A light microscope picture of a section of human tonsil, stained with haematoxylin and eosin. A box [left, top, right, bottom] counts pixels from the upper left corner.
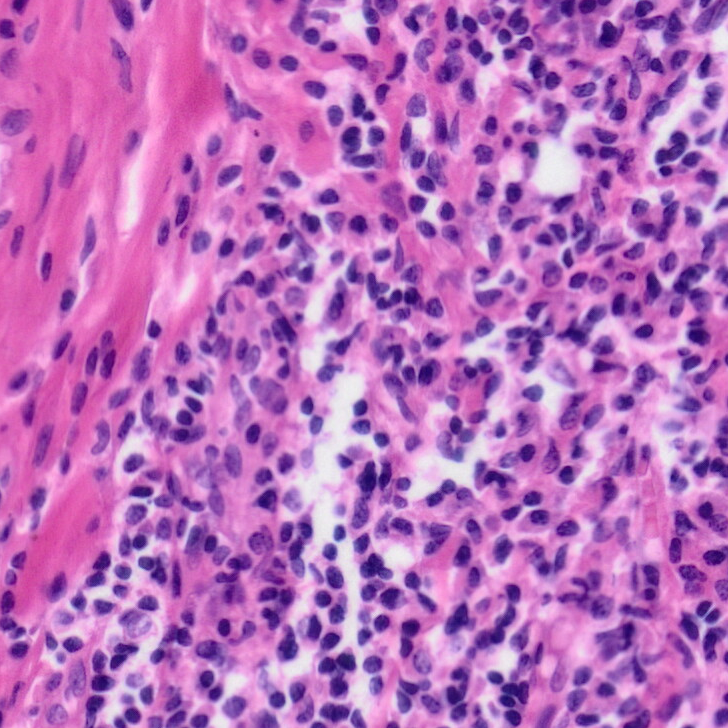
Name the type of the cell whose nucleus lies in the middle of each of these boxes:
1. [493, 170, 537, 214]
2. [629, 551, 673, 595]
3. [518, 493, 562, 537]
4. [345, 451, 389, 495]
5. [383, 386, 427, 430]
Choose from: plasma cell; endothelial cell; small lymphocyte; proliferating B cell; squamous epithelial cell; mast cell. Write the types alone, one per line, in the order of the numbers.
plasma cell
endothelial cell
plasma cell
small lymphocyte
endothelial cell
